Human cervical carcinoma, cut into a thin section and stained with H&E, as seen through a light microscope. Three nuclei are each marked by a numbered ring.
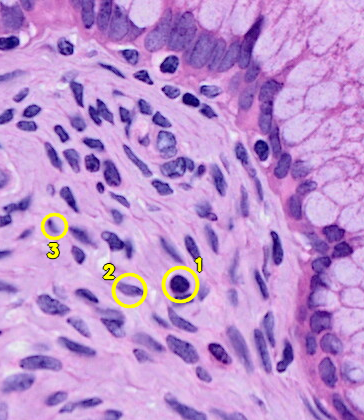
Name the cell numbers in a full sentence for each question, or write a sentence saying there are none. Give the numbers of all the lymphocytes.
Only the cell numbered 1 qualifies as a lymphocyte among the marked cells.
